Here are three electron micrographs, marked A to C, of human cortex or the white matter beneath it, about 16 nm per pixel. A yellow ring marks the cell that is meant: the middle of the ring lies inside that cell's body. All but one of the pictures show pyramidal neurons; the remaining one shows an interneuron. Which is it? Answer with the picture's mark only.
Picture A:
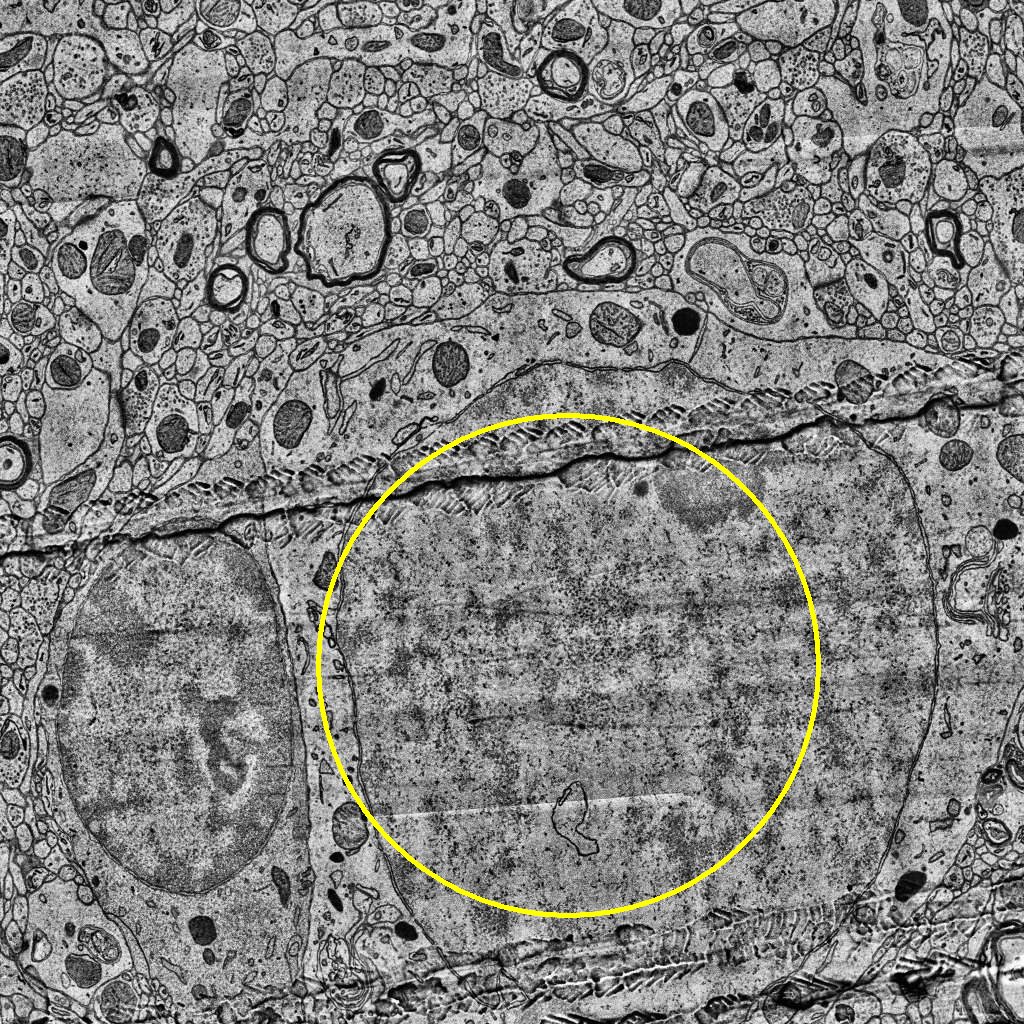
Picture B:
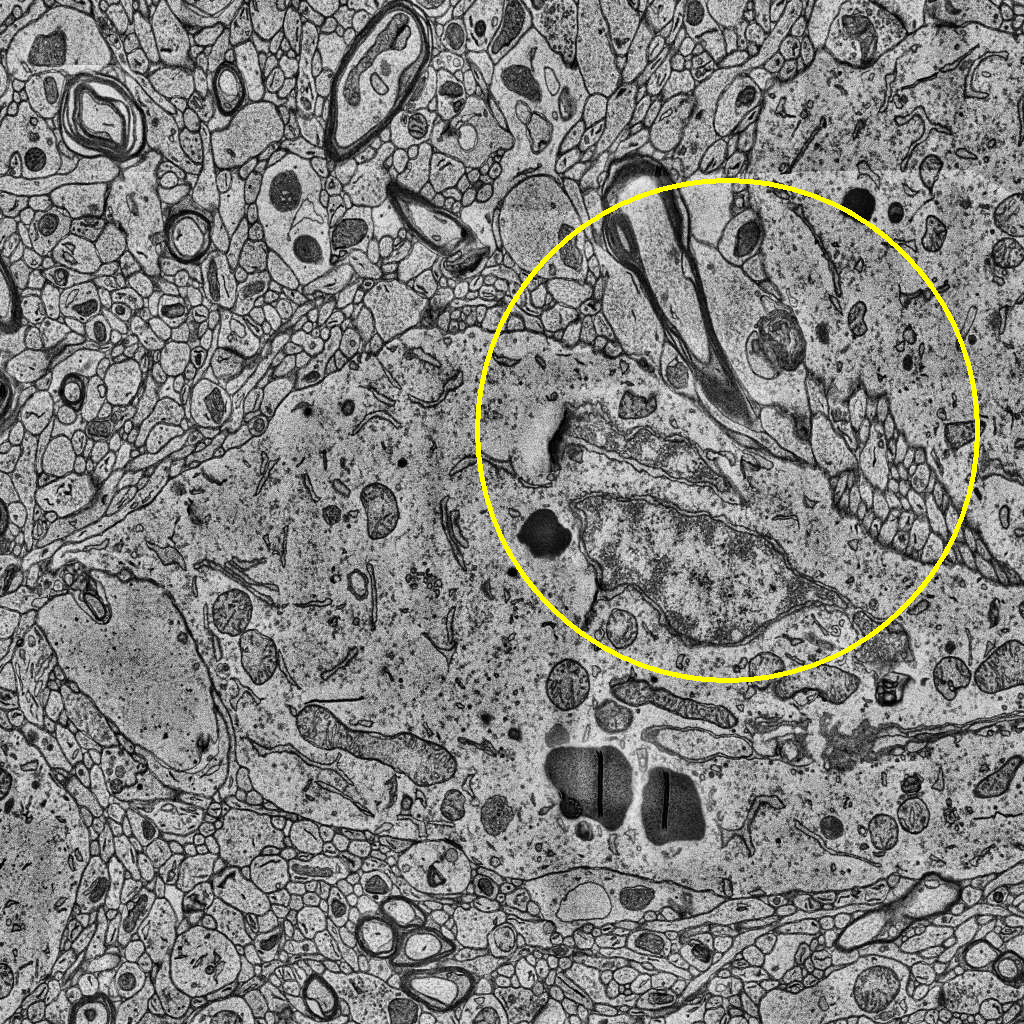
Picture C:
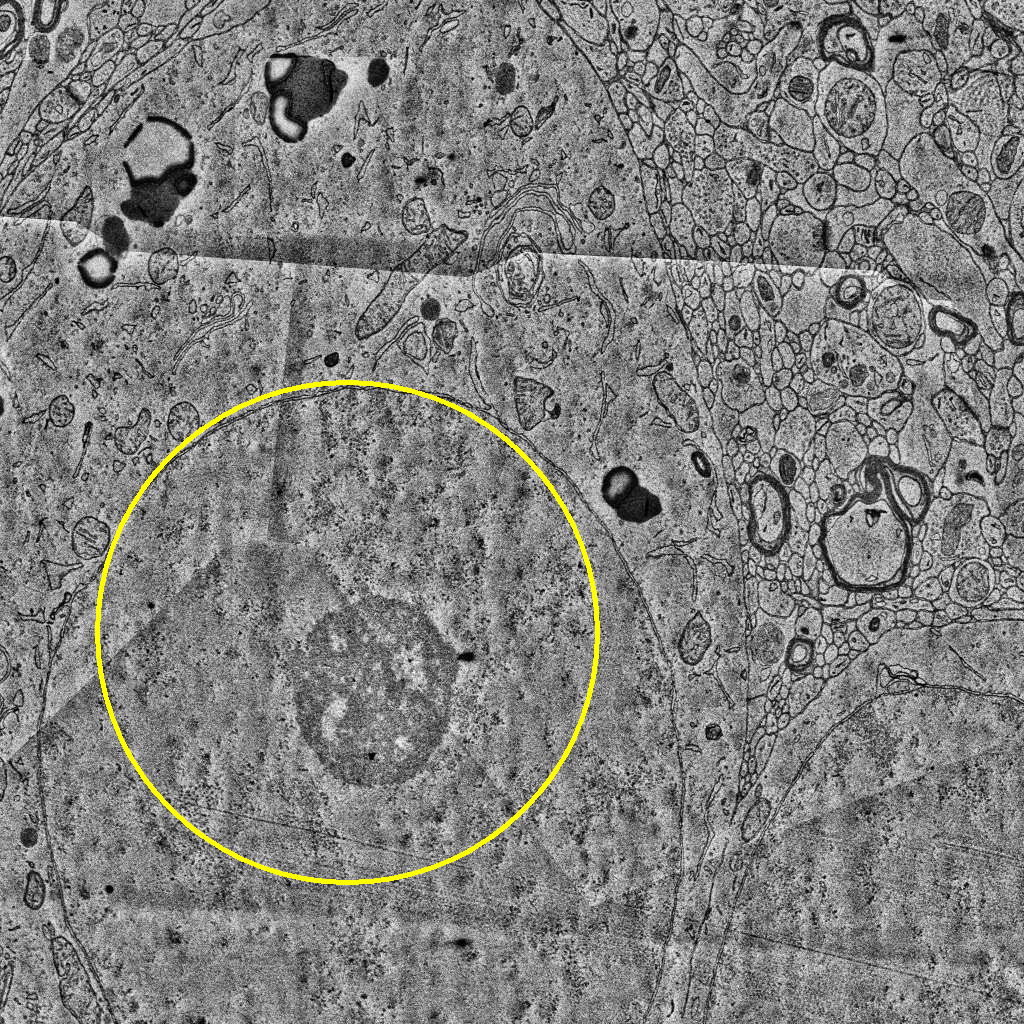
B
